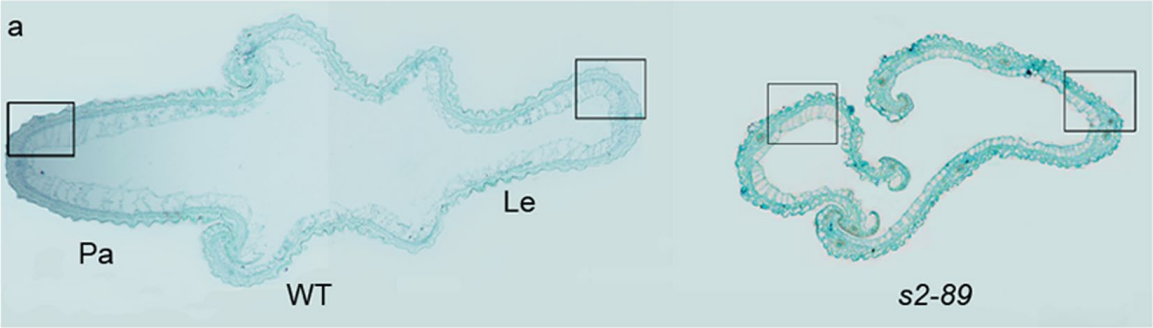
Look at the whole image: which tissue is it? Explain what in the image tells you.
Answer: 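Two thin, curved, sheet-like organs in cross section enclose a central space. Each wall is only a few cell layers thick.
Spikelet hulls.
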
